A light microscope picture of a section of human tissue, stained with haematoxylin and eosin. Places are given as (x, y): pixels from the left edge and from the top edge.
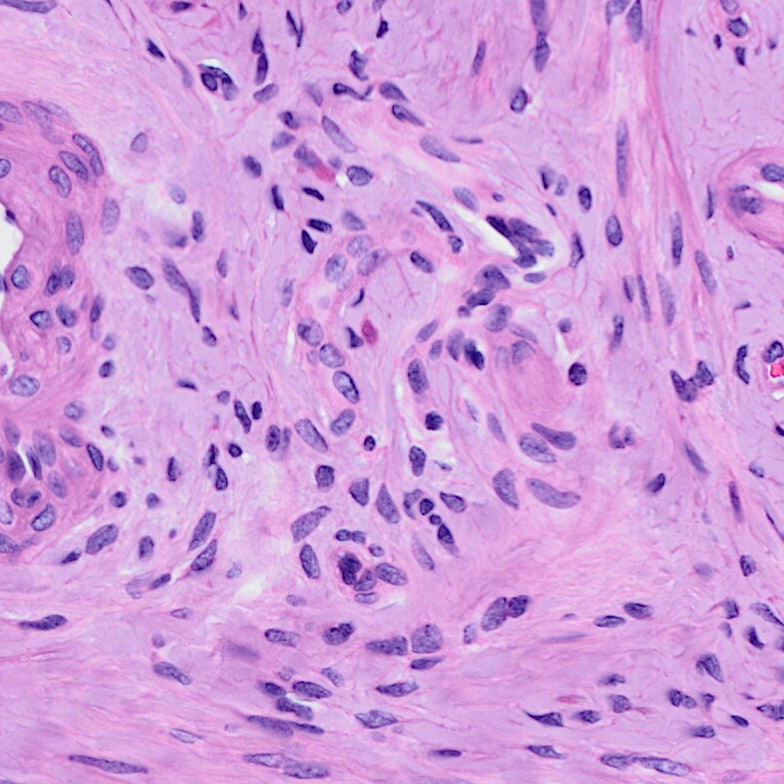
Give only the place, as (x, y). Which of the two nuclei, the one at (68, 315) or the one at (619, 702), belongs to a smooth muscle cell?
(68, 315)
